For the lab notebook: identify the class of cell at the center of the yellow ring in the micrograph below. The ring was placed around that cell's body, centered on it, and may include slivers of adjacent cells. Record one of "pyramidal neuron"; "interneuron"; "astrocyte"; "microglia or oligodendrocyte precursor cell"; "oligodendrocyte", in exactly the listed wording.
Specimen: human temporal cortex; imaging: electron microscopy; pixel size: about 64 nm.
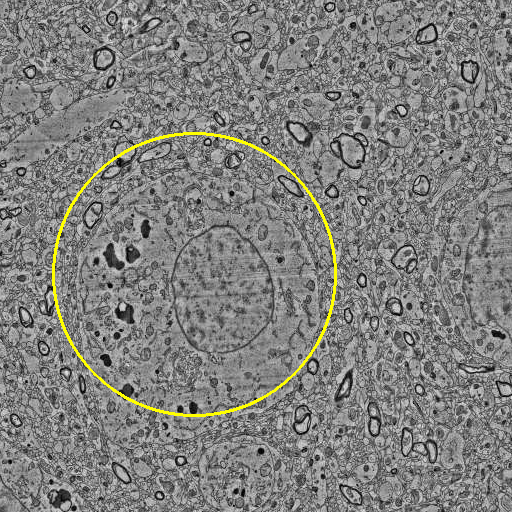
pyramidal neuron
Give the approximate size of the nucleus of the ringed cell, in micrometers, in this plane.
In this plane, the nucleus is roughly 8 by 7 micrometres.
